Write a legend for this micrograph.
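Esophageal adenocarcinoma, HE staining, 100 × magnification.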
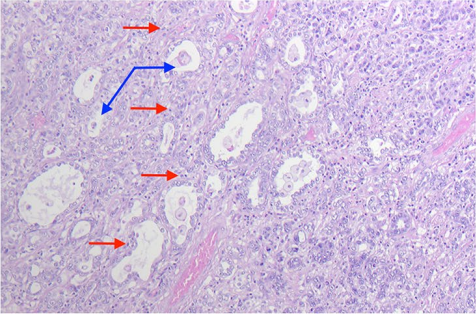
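The glands have open, clear lumens of very different sizes, some holding pink material, lined by cells with dark purple nuclei. Between the glands, the tumor cells crowd together with nuclei that vary in size and shape. Thin bands of pink collagen run diagonally across the field.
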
